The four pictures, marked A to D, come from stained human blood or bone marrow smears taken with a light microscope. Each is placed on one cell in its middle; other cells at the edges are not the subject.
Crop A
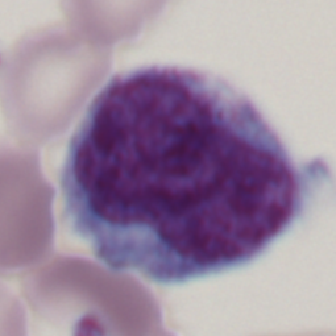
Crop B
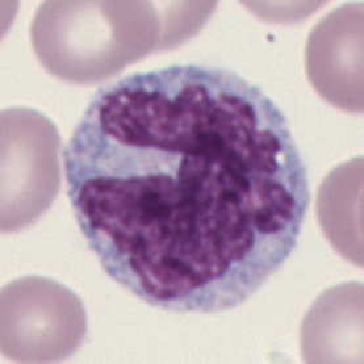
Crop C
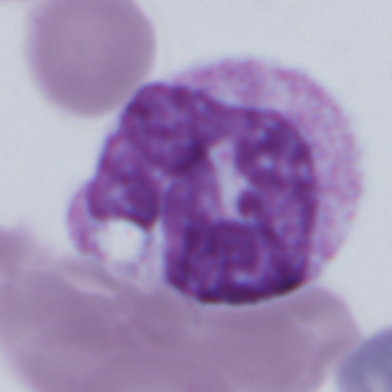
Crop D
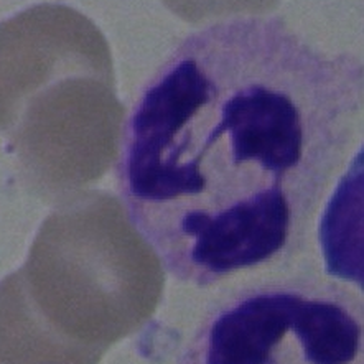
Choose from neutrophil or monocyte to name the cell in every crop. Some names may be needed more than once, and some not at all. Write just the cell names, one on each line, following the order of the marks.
monocyte
monocyte
neutrophil
neutrophil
